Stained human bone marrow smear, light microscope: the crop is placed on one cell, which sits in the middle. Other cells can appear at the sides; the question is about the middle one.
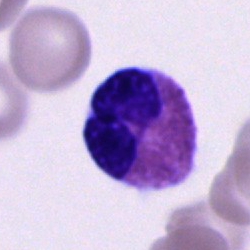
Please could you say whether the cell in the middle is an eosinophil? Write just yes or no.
yes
